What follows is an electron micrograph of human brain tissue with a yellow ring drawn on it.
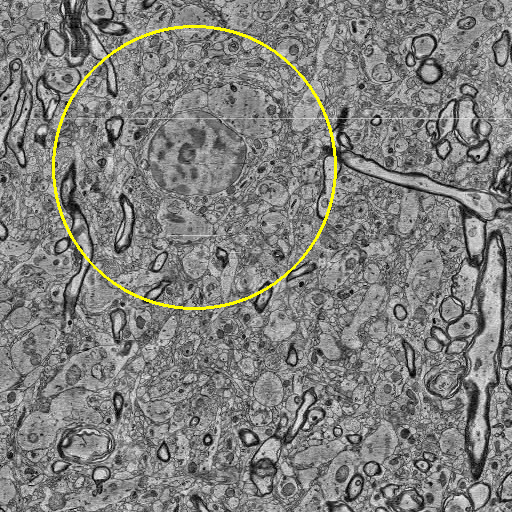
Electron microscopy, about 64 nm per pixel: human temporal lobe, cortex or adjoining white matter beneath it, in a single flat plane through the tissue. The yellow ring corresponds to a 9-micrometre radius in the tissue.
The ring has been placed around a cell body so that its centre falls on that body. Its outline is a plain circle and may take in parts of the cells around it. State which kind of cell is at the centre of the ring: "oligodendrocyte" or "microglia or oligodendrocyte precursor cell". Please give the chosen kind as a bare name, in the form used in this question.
microglia or oligodendrocyte precursor cell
